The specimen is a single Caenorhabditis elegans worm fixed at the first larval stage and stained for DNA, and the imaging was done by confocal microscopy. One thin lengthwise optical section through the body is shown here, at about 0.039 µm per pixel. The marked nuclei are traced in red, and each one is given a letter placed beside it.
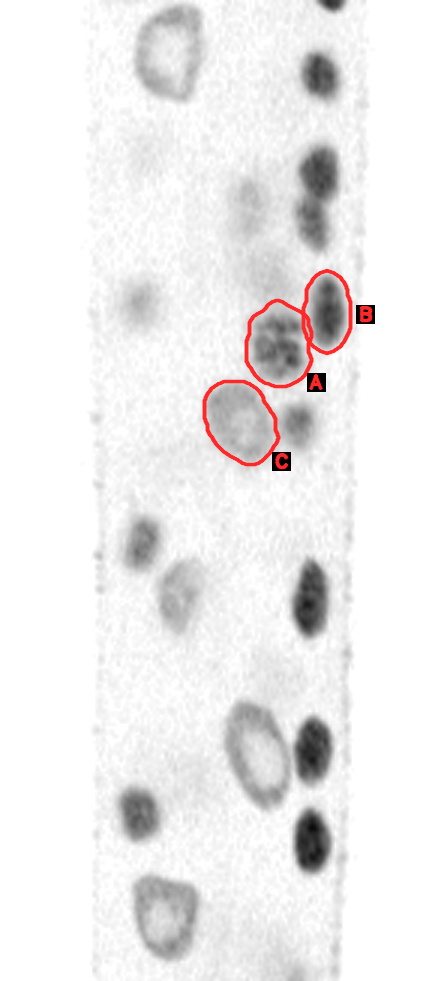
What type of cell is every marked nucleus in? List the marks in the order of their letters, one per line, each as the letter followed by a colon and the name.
A: germ line precursor
B: neuron
C: intestinal cell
